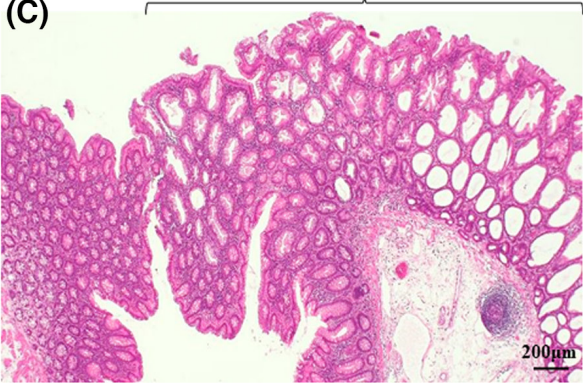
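This is colorectal mucosa seen at low power, made of tubular crypts lined by columnar epithelium set in a pink-purple lamina propria. On the left the crypts are small, evenly spaced and round in cross section, as in ordinary mucosa. Towards the right the crypts become distorted: they are widened, with large open lumens and irregular, partly saw-toothed outlines, and they lie along the surface of the mucosa. Below the mucosa lies a pale, loose submucosa.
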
